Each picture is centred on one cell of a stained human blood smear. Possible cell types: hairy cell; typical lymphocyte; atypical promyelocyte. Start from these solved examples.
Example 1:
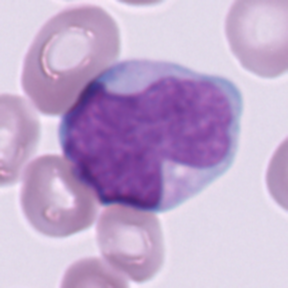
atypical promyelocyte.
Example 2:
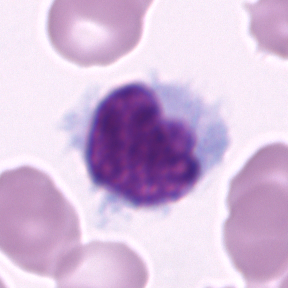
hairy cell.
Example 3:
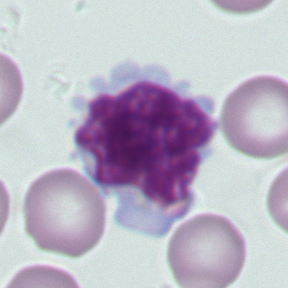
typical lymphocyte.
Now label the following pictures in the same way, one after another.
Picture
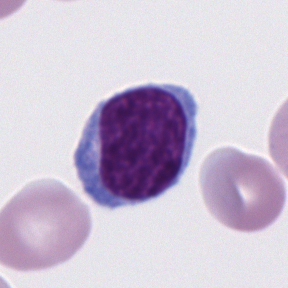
typical lymphocyte.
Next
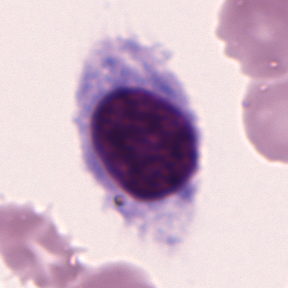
hairy cell.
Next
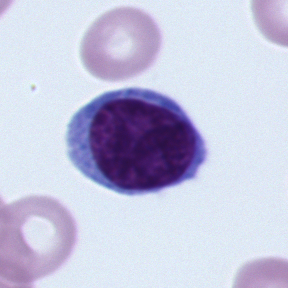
typical lymphocyte.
